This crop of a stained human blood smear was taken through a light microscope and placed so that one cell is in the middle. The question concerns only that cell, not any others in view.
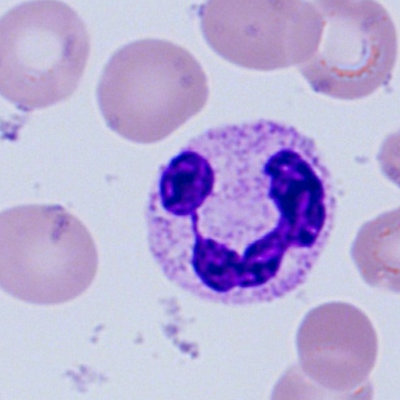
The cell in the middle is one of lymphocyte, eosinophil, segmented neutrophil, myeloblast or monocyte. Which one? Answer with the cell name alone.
segmented neutrophil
